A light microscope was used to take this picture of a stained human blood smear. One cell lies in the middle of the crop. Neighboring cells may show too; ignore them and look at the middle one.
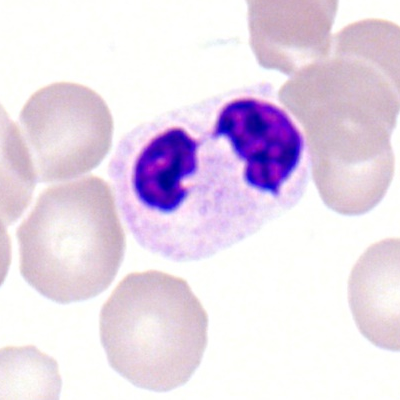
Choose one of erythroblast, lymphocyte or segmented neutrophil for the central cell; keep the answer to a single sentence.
The cell around which this crop is centred is a segmented neutrophil.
